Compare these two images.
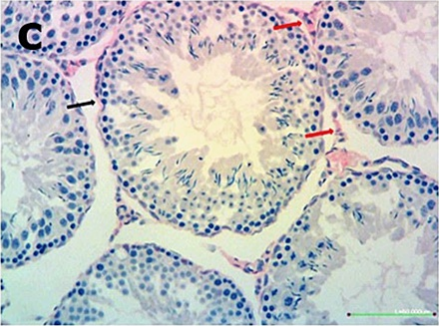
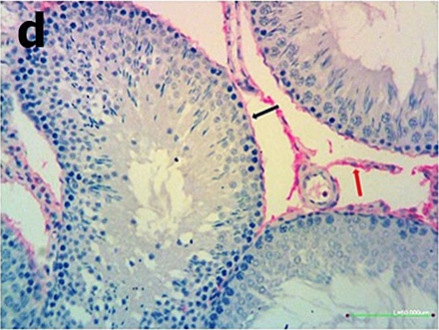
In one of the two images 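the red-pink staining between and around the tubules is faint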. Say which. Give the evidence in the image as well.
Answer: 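Second image: pink-red staining outlines the tubule walls and the tissue between them. First image: the tissue between the tubules is mostly pale with only small traces of pink.
The first image.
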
